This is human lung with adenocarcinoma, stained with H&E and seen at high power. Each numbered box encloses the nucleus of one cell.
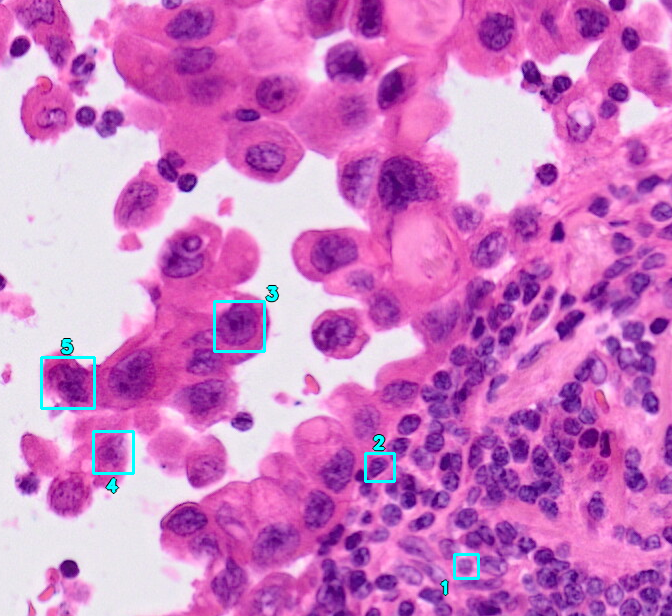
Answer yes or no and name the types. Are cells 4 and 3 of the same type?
Yes, both are carcinoma cells.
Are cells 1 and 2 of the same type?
Yes, both are lymphocytes.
